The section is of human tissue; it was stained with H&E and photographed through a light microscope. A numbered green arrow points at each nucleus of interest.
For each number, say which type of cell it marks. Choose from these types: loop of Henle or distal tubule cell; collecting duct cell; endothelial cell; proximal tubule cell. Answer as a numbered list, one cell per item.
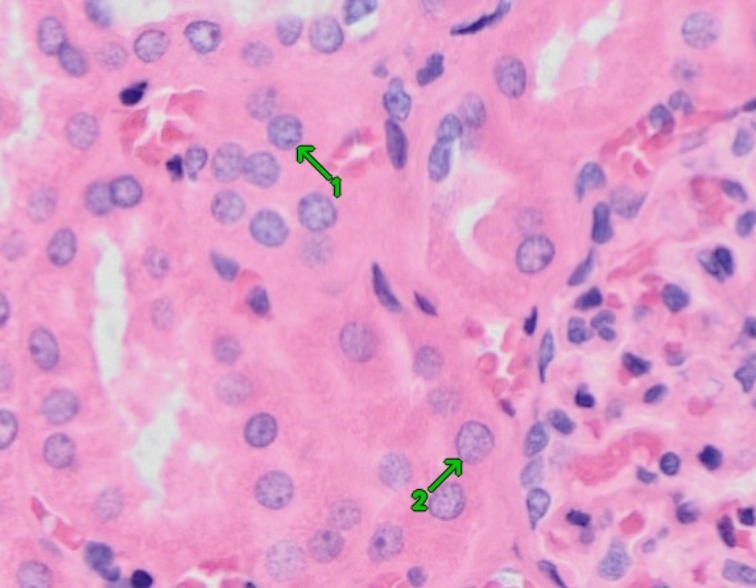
1. loop of Henle or distal tubule cell
2. proximal tubule cell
